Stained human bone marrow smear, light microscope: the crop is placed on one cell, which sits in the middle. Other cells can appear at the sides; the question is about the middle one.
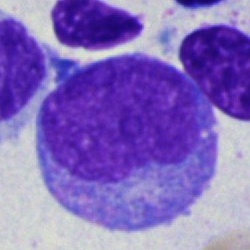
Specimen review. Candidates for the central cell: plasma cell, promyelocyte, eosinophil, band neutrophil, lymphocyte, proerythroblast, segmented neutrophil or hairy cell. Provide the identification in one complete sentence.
The cell sitting right in the middle is a promyelocyte.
